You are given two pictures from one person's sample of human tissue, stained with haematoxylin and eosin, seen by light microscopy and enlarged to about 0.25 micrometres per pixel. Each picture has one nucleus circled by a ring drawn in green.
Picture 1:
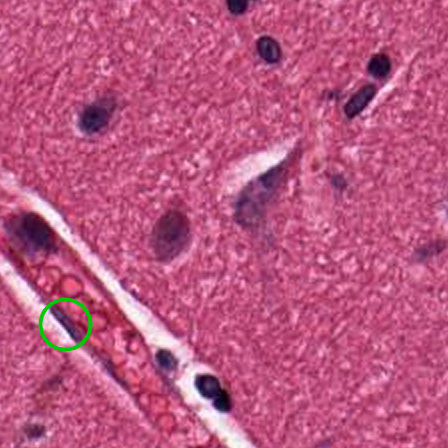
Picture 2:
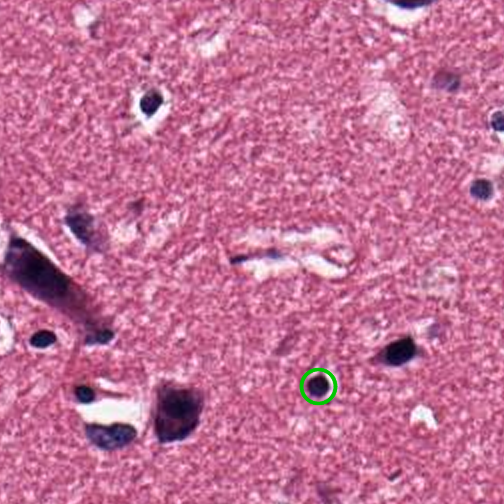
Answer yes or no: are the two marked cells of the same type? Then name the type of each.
No, the first is an endothelial cell and the second an oligodendrocyte.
